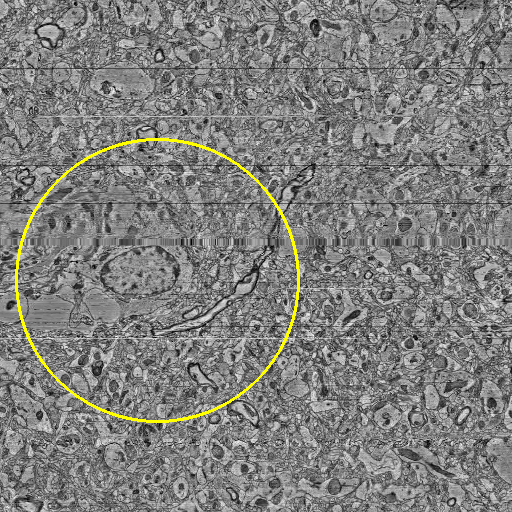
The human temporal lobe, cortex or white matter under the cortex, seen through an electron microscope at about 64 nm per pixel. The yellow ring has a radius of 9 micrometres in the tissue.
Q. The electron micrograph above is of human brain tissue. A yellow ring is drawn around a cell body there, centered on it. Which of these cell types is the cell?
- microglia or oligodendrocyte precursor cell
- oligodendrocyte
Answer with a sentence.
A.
The cell under the ring's center is a microglial cell or oligodendrocyte precursor cell.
